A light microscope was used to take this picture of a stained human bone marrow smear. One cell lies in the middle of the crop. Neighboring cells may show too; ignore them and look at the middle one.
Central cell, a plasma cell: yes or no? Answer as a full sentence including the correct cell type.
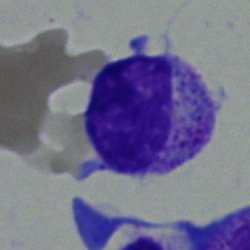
No, it is a myelocyte that sits in the middle, not a plasma cell.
